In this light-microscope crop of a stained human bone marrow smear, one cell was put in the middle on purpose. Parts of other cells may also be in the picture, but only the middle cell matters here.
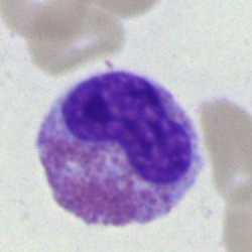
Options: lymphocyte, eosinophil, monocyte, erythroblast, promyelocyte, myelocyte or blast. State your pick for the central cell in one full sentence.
The centrally positioned cell in the crop represents an eosinophil.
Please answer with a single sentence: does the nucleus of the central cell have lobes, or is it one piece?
One compact mass makes up the whole nucleus, round, oval or kidney-shaped.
